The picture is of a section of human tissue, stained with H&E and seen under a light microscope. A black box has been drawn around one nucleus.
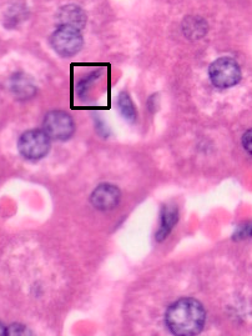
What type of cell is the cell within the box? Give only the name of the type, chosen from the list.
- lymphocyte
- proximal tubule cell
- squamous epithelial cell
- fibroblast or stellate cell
fibroblast or stellate cell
